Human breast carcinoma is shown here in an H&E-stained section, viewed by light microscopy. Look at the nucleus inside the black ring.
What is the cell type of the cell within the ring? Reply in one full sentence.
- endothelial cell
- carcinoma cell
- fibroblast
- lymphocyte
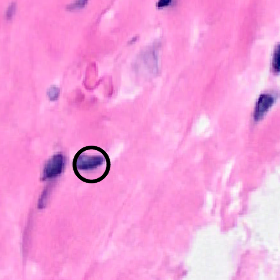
In this preparation, the cell within the ring is a lymphocyte.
